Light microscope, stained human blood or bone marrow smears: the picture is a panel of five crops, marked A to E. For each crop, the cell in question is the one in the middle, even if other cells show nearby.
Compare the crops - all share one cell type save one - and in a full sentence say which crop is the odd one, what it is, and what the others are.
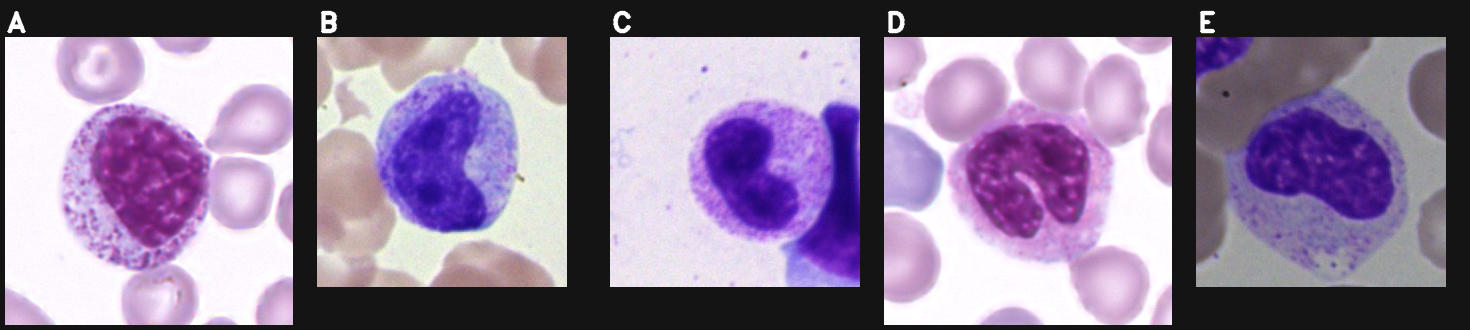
The different one is crop D, which is a band neutrophil; the rest all show metamyelocytes.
